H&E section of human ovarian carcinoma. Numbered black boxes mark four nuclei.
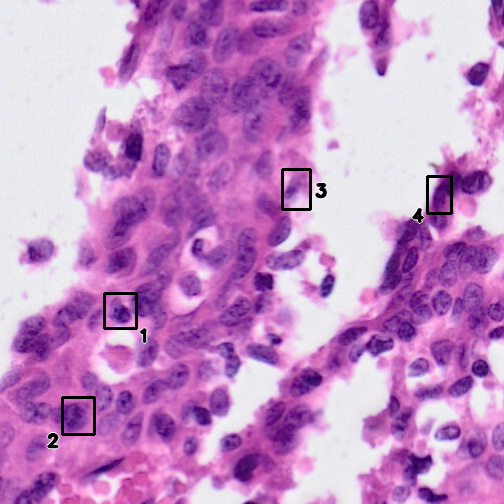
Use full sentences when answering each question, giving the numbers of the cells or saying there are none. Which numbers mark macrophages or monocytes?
The cells which carry the numbers 1 and 3 are macrophages or monocytes.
